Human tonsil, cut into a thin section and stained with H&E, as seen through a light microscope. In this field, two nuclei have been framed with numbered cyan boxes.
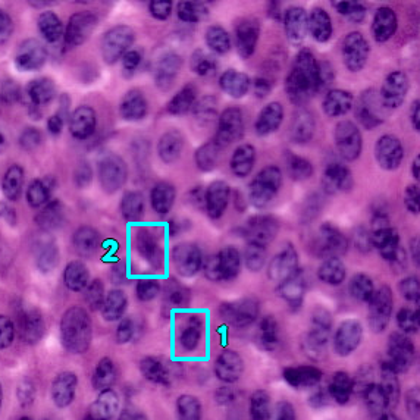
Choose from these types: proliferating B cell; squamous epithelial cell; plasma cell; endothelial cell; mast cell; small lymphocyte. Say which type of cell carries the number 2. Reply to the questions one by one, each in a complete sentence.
Among the marked cells, number 2 is a squamous epithelial cell.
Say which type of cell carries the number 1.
The cell carrying label 1 is identified as a plasma cell.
